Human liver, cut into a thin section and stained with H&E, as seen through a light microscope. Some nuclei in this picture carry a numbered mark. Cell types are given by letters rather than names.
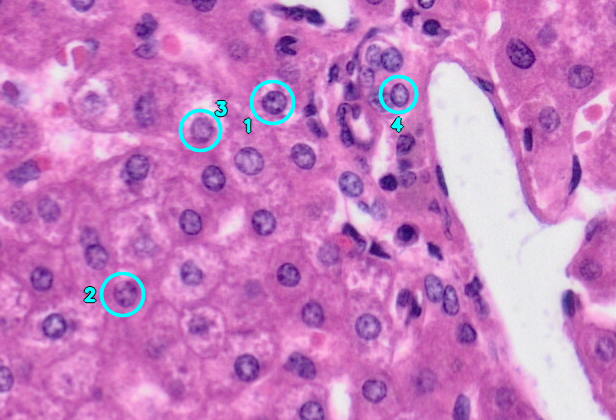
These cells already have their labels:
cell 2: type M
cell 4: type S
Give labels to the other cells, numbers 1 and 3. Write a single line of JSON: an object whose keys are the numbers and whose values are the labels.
{"1": "type M", "3": "type M"}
